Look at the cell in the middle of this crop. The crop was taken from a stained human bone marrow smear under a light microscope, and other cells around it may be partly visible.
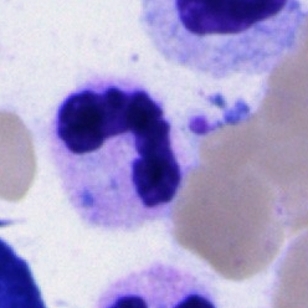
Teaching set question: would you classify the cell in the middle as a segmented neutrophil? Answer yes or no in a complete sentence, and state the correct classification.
Yes, the cell at the middle is a segmented neutrophil.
